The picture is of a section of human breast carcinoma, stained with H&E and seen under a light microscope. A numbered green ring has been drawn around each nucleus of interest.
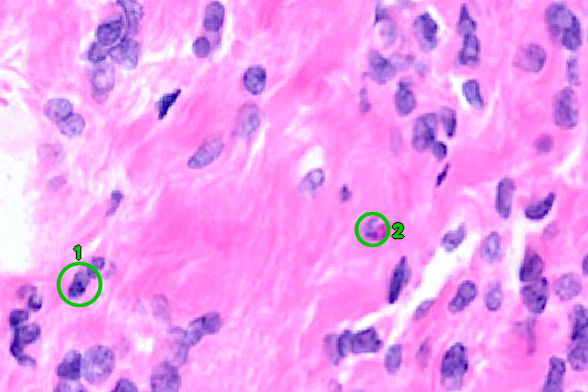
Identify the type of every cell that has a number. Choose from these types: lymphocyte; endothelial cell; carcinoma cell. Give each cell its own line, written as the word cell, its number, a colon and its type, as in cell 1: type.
cell 1: lymphocyte
cell 2: endothelial cell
